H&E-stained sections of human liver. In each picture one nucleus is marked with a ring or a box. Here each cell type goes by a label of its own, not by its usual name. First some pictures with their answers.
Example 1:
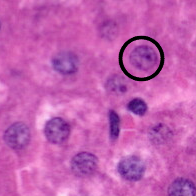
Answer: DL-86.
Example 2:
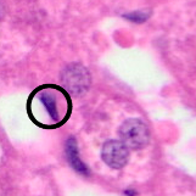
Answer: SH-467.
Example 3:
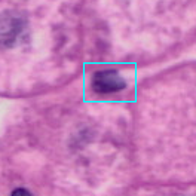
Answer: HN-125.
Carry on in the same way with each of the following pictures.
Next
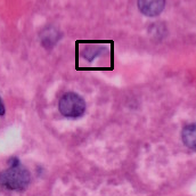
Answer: HN-125.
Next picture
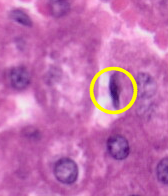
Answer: HN-125.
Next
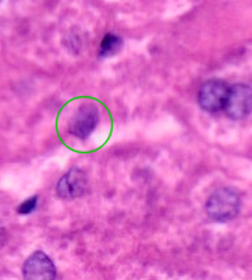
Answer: HN-125.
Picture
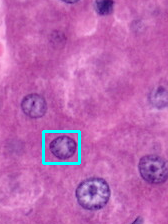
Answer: DL-86.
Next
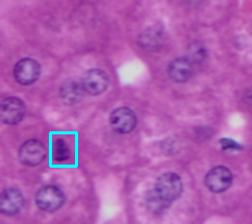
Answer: SH-467.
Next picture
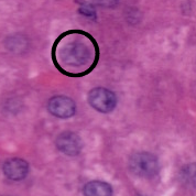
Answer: DL-86.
